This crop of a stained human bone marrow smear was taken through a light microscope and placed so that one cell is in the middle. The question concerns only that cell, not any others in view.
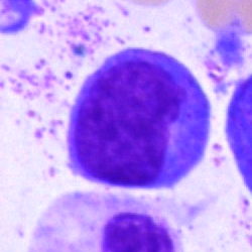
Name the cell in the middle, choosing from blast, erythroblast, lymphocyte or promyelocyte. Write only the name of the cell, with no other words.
blast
